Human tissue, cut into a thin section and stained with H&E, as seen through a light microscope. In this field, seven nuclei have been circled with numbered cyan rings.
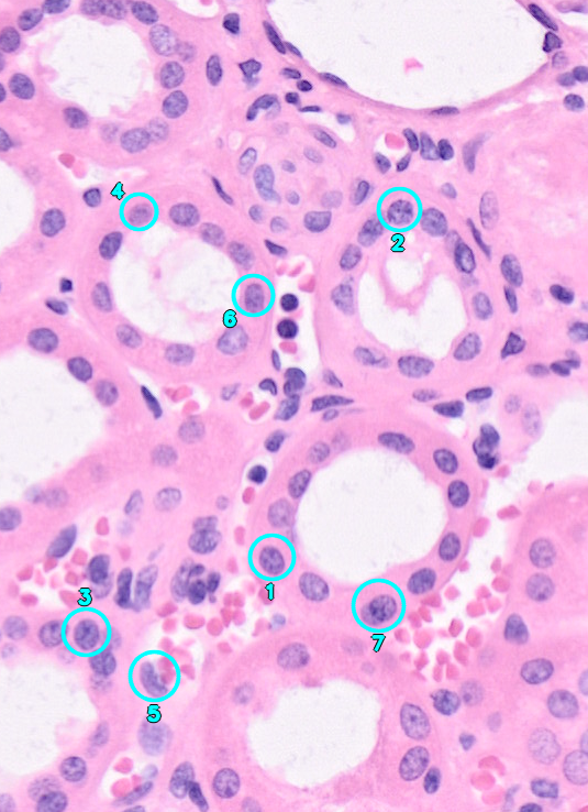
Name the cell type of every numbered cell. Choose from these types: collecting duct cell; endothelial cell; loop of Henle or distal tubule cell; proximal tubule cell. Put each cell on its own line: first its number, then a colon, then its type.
1: collecting duct cell
2: collecting duct cell
3: collecting duct cell
4: loop of Henle or distal tubule cell
5: endothelial cell
6: loop of Henle or distal tubule cell
7: collecting duct cell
